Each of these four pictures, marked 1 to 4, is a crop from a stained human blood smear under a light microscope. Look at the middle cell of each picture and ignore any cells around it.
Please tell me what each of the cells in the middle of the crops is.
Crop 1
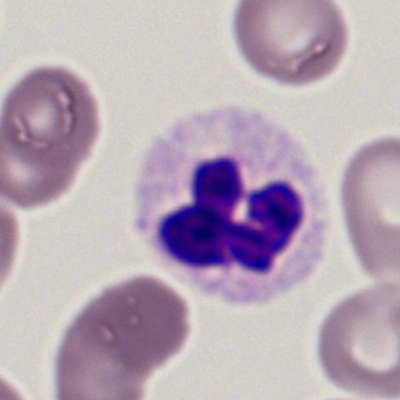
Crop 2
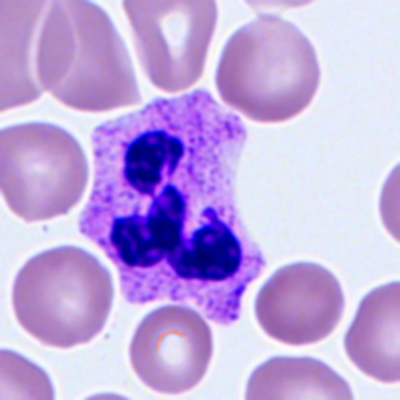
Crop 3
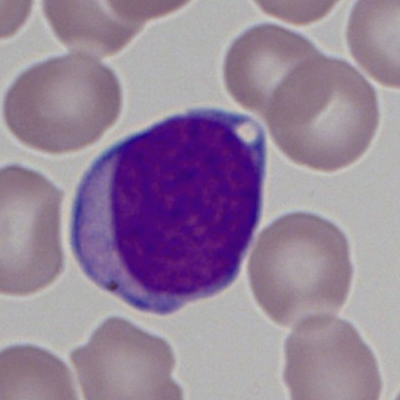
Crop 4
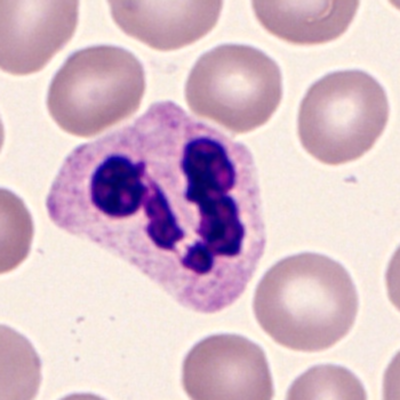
1: segmented neutrophil
2: segmented neutrophil
3: myeloblast
4: segmented neutrophil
